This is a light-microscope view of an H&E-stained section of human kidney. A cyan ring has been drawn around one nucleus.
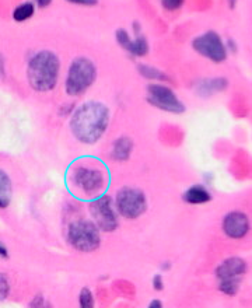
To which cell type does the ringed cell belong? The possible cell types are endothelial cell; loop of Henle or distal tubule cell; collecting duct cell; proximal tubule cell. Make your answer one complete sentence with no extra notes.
Right, so the ringed cell is a collecting duct cell, to answer that.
